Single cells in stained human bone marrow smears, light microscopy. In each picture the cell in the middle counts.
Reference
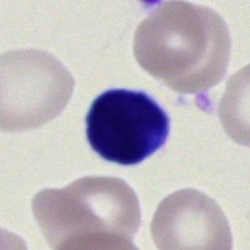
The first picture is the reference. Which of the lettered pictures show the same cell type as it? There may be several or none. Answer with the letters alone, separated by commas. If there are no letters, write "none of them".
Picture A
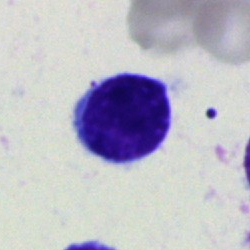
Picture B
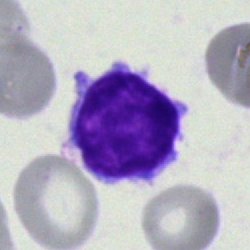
A, B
